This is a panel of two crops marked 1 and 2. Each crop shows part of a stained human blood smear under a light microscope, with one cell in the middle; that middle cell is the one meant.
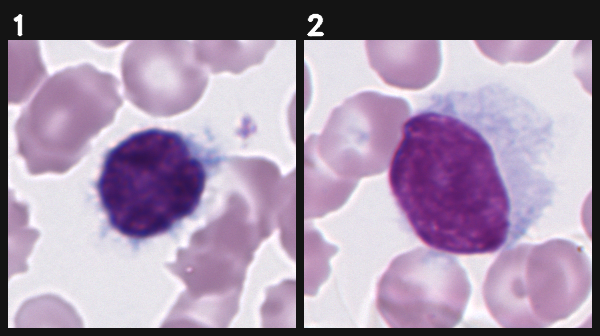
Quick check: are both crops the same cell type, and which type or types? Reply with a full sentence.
Yes, the cells placed at the centre of both crops are hairy cells.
